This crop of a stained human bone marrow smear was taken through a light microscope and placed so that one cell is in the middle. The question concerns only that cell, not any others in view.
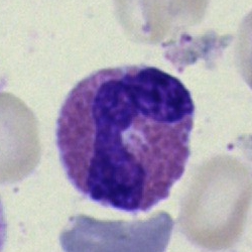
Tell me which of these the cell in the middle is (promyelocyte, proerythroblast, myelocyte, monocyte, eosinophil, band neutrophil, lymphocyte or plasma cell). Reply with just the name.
eosinophil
